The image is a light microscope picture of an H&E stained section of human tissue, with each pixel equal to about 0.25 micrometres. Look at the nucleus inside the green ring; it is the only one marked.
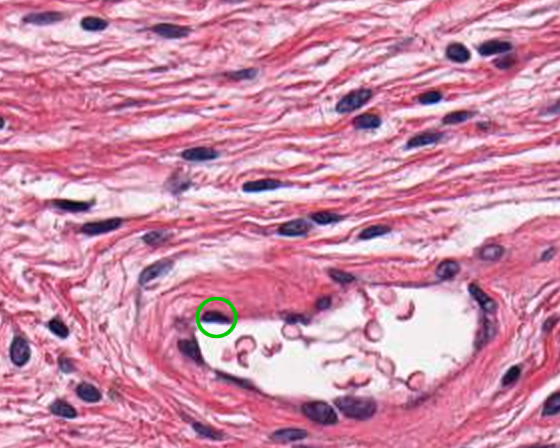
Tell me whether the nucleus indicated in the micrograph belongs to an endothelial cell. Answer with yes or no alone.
yes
